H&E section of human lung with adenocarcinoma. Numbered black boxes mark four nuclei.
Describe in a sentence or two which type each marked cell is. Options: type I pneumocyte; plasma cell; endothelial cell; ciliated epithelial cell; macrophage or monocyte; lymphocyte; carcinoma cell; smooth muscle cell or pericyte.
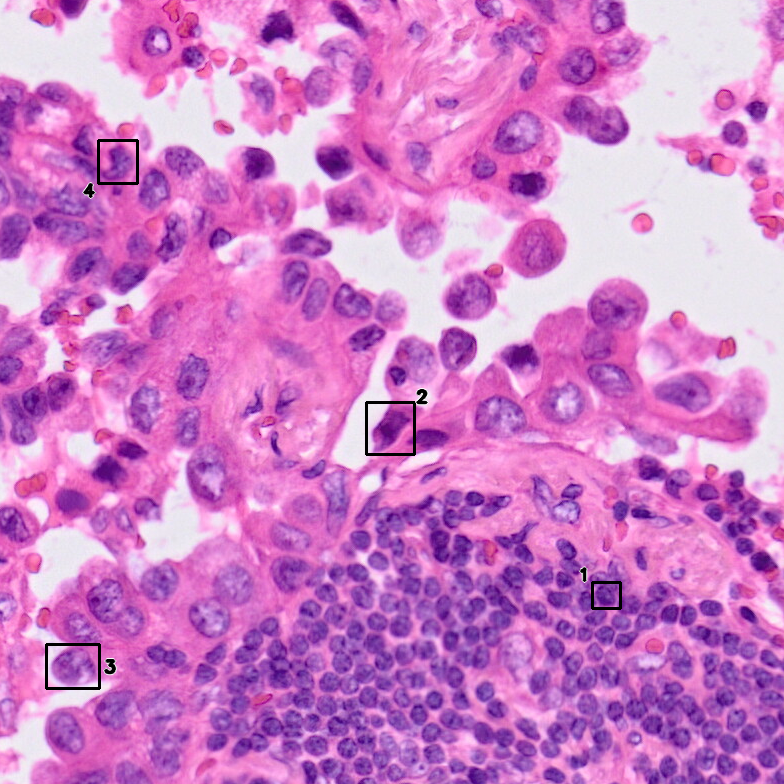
Cell 1 is a lymphocyte, cell 2 is a carcinoma cell, cell 3 is a carcinoma cell and cell 4 is a carcinoma cell.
